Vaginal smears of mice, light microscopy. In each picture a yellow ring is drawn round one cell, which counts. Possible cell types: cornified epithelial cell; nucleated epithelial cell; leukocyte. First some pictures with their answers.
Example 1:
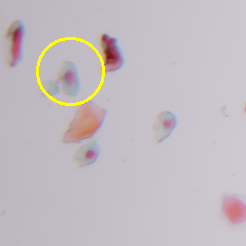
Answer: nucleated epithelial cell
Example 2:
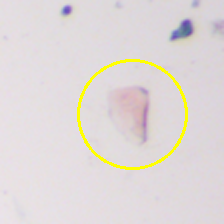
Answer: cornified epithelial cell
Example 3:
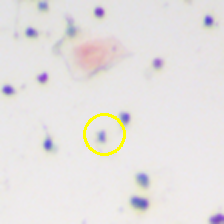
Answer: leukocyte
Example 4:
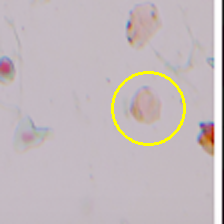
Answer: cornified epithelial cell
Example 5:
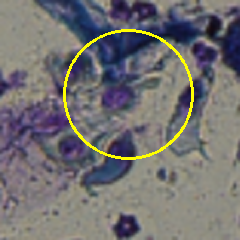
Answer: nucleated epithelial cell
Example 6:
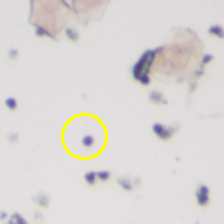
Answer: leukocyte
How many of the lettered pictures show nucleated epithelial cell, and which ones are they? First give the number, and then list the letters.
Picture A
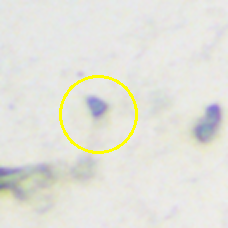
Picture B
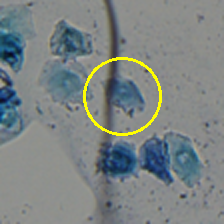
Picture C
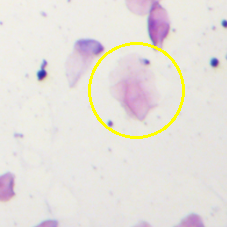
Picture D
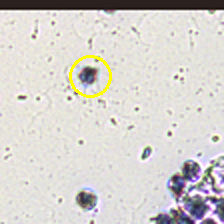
0, none of them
